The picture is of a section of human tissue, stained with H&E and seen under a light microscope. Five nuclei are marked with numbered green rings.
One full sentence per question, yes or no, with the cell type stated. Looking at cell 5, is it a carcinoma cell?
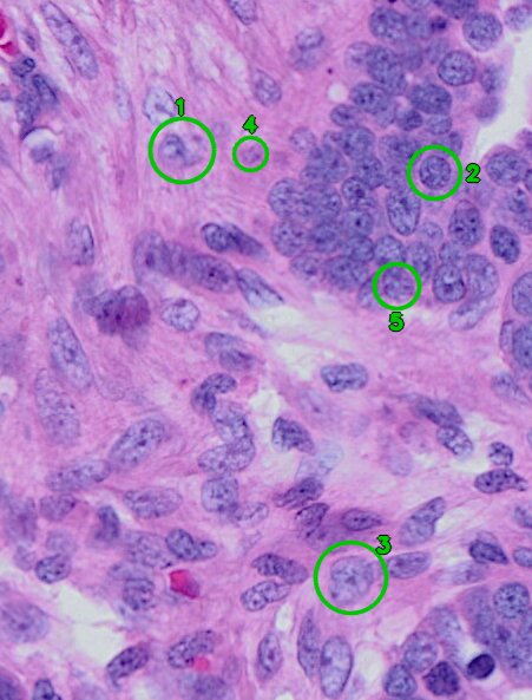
Yes, looking at number 5, that cell is a carcinoma cell.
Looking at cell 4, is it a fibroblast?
Yes, the cell numbered 4 in this tissue is a fibroblast.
